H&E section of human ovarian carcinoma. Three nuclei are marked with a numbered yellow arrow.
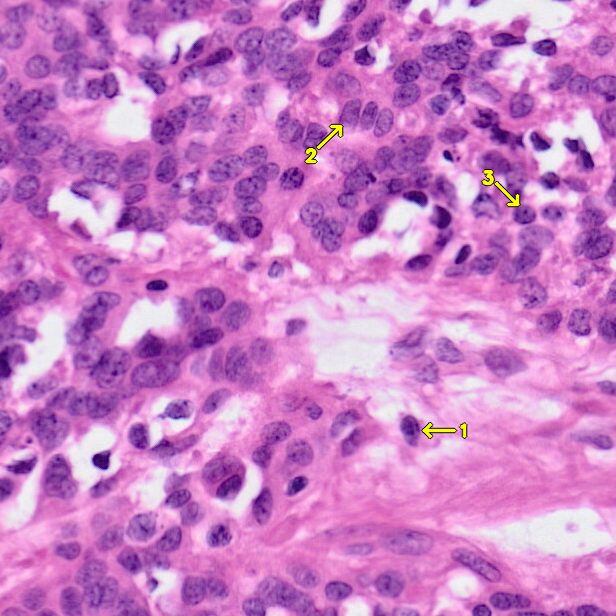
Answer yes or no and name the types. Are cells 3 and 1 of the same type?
Yes, the pair of cells 3 and 1 are both macrophages or monocytes.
